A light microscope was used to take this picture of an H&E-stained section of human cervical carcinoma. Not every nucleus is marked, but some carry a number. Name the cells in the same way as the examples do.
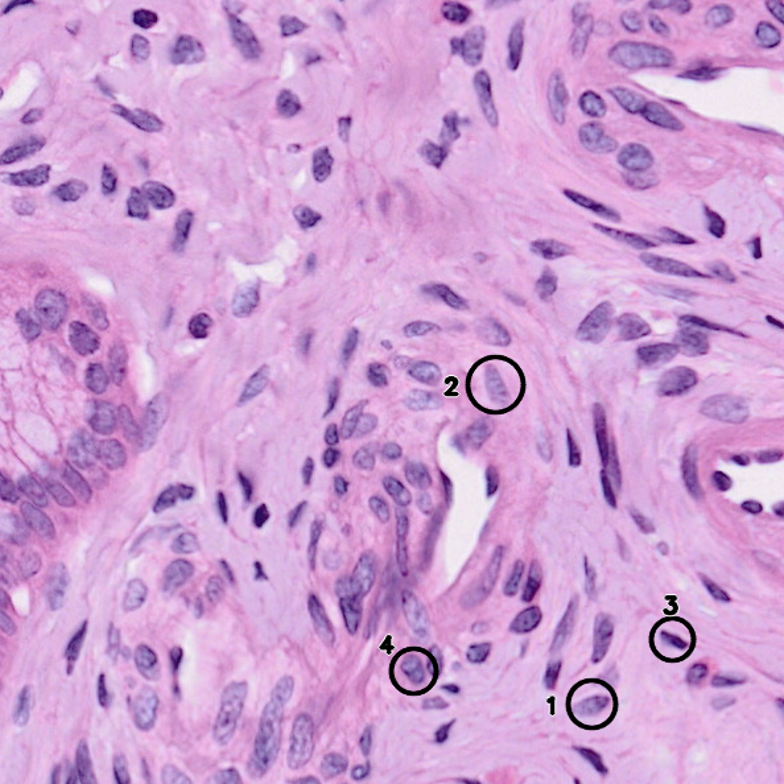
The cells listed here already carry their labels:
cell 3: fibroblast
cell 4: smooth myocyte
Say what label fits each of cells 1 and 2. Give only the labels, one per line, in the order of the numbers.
fibroblast
smooth myocyte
